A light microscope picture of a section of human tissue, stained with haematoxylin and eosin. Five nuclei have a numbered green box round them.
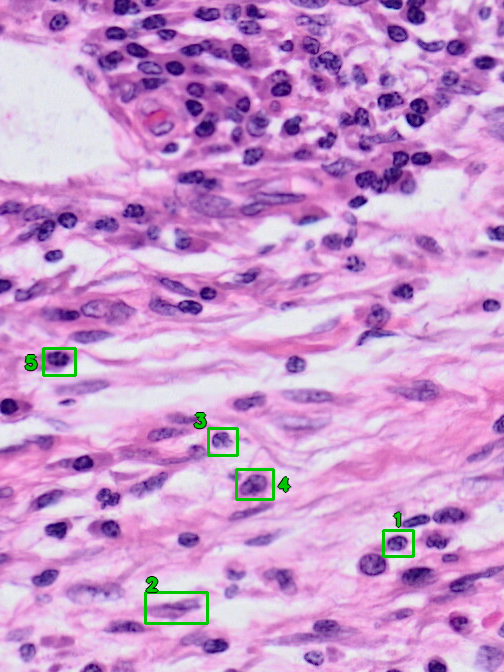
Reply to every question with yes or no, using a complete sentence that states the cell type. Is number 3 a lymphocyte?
Yes, in the section, number 3 is a lymphocyte.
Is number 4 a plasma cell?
No, it is a macrophage or monocyte that is marked with number 4, not a plasma cell.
